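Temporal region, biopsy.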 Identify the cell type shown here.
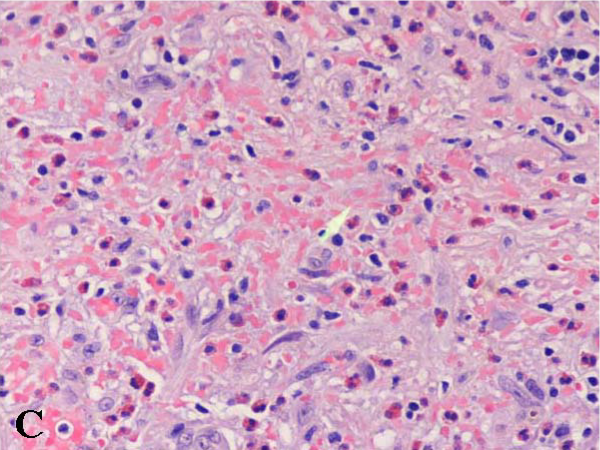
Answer: eosinophils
